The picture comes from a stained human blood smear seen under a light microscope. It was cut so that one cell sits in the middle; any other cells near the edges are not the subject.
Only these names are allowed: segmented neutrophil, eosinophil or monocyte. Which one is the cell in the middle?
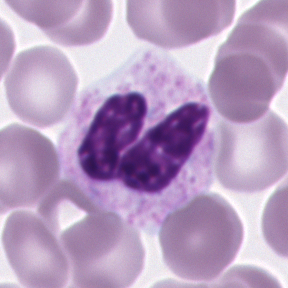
segmented neutrophil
